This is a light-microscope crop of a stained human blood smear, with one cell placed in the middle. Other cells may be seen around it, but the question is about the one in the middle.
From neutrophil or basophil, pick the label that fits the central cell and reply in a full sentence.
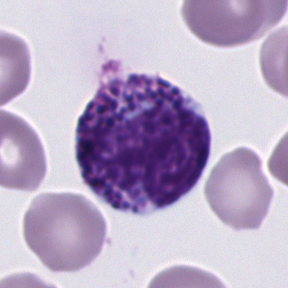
Here the cell in the middle is a basophil.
